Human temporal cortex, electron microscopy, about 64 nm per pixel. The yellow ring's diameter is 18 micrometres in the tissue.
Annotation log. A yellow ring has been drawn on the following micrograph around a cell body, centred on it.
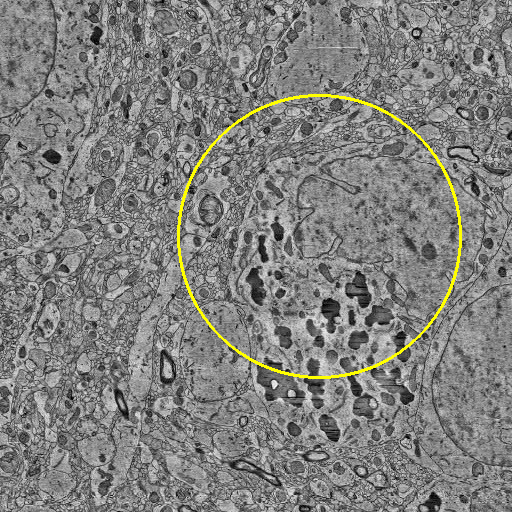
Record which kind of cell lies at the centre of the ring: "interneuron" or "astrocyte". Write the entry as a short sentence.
The cell the ring is centred on is an interneuron.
